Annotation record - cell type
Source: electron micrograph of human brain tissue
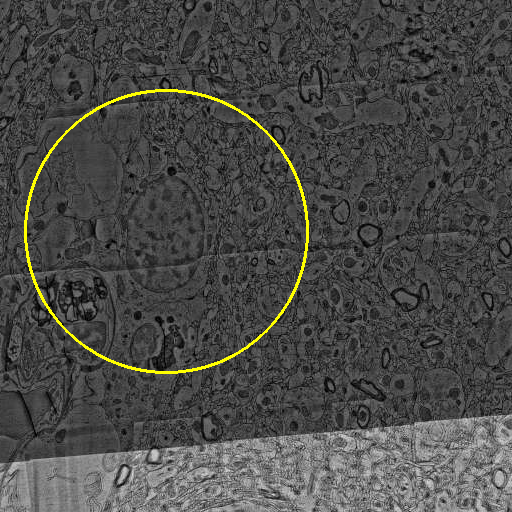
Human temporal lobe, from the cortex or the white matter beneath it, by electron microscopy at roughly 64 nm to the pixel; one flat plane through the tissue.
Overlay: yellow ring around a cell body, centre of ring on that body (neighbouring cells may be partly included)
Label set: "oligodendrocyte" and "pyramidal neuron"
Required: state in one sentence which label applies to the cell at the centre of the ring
This cell should be labelled as an oligodendrocyte.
